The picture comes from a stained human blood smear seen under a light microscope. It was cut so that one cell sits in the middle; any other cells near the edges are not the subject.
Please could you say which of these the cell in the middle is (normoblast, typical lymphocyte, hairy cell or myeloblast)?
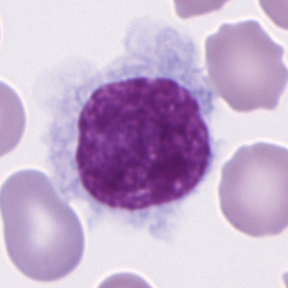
hairy cell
